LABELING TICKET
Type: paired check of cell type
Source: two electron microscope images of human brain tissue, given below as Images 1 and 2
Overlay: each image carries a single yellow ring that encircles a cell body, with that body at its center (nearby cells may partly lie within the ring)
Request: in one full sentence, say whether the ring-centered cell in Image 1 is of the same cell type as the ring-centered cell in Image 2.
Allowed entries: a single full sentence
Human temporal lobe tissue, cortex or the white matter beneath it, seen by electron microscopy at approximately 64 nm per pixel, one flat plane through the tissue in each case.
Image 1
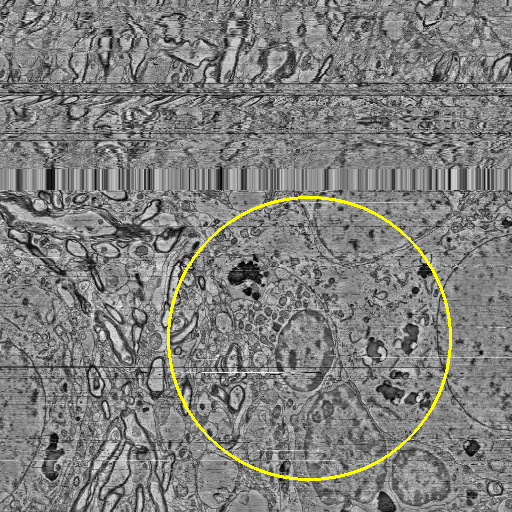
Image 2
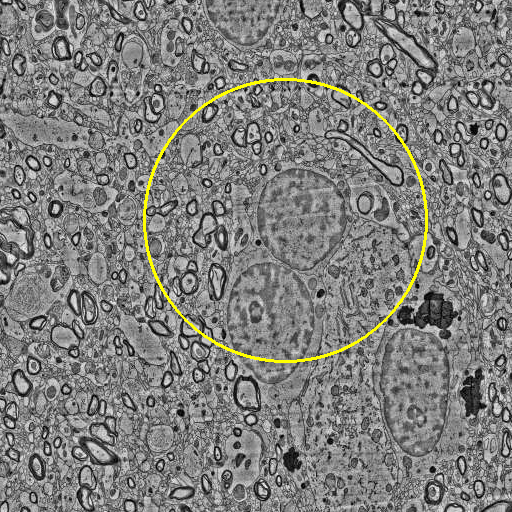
No, the cells centered in the rings of Image 1 and Image 2 are of two types.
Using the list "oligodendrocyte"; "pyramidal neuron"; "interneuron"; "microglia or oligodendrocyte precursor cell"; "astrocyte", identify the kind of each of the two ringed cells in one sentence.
The first is a microglial cell or oligodendrocyte precursor cell and the second is an oligodendrocyte.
